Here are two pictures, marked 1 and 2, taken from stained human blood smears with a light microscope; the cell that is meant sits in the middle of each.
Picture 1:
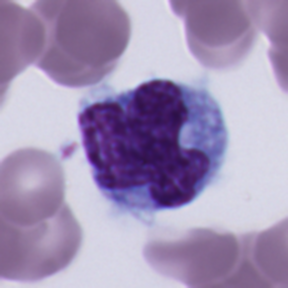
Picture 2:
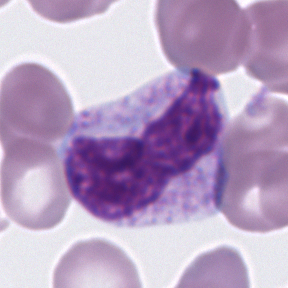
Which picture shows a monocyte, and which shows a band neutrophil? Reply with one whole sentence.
It is picture 1 that shows a monocyte, and picture 2 that shows a band neutrophil.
